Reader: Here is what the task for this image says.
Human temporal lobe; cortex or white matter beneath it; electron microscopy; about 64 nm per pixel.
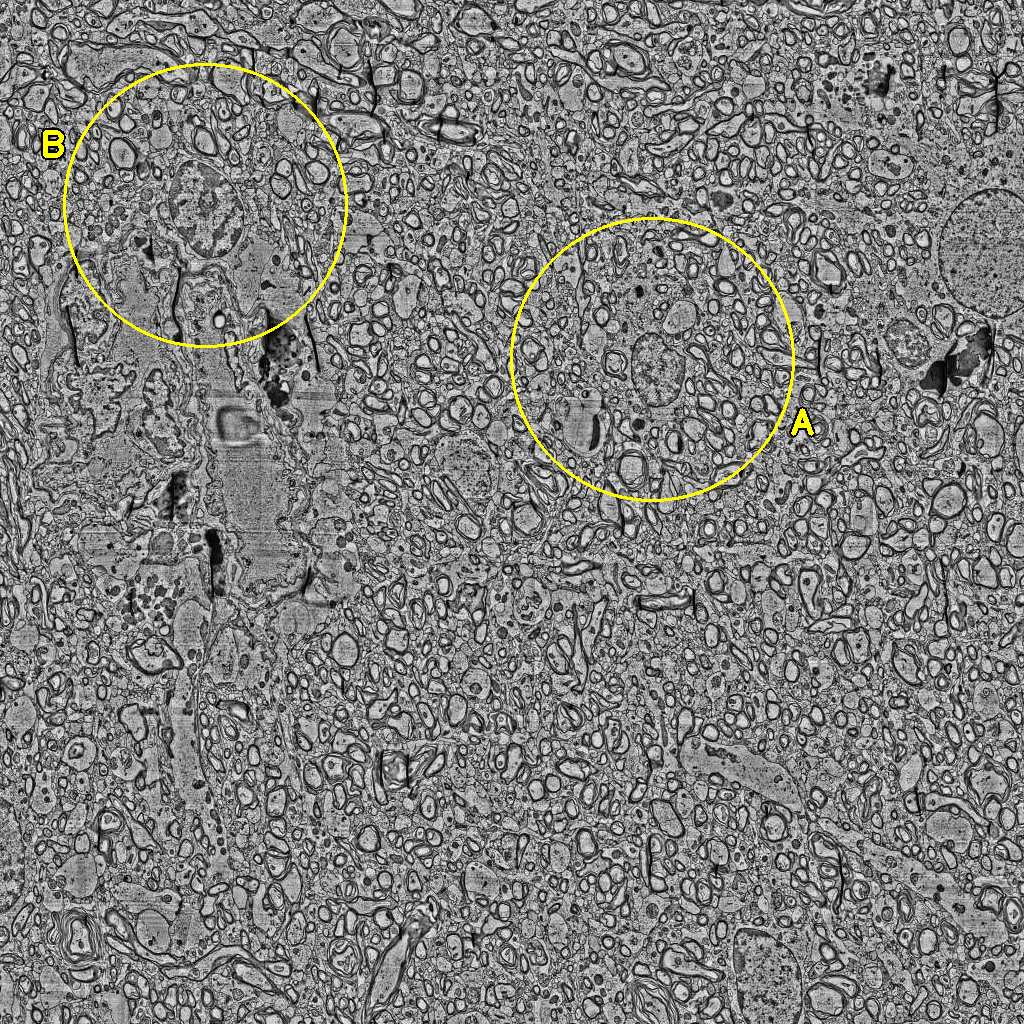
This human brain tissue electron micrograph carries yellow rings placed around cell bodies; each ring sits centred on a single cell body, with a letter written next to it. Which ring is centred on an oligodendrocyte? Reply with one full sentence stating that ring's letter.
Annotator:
Letter A marks the ring whose centre holds the cell asked for.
